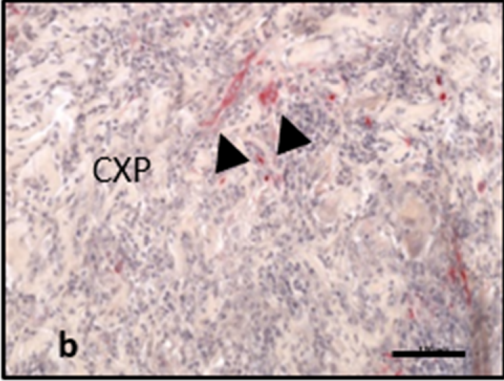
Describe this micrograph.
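Numerous small purple nuclei fill the spaces among the fragments, showing the material has been invaded by cells. Scattered cells and streaks are stained bright red, including those marked by the arrowheads near the centre.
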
